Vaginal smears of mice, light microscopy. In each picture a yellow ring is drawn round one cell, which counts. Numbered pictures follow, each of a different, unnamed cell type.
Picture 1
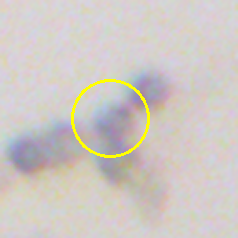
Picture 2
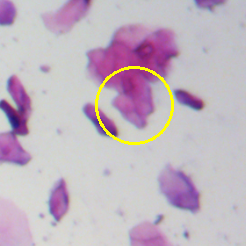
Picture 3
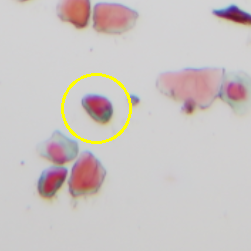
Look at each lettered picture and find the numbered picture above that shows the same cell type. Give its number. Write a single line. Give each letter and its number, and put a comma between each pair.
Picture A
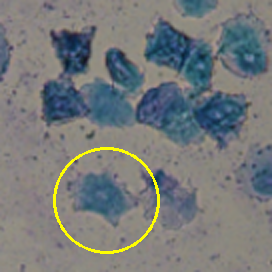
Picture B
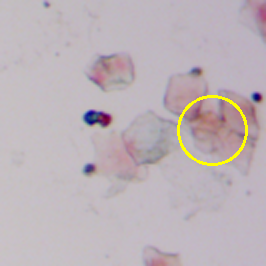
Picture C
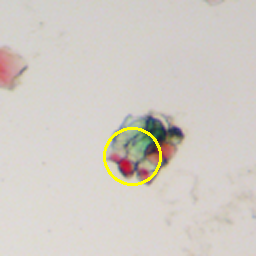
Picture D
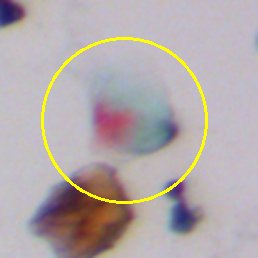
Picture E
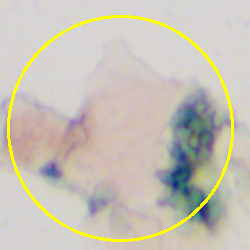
A 2, B 2, C 3, D 3, E 2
